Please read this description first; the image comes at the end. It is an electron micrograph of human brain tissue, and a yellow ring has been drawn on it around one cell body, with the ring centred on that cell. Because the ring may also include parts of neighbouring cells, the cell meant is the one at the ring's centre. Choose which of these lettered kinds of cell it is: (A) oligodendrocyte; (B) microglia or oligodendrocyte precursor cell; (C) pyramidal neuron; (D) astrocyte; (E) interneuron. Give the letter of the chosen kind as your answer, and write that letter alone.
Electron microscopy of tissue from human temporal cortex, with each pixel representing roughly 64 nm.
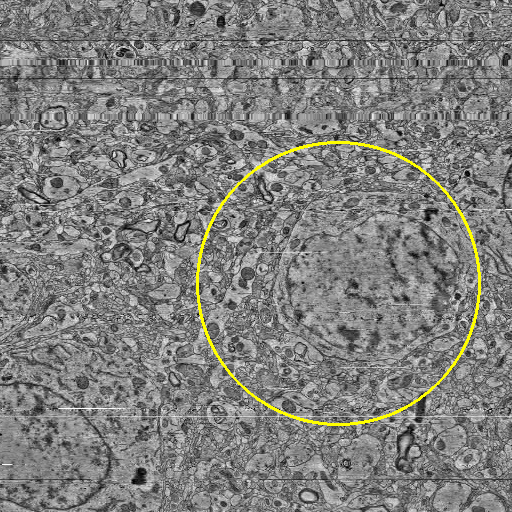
E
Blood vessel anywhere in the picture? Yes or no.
No, none appears.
